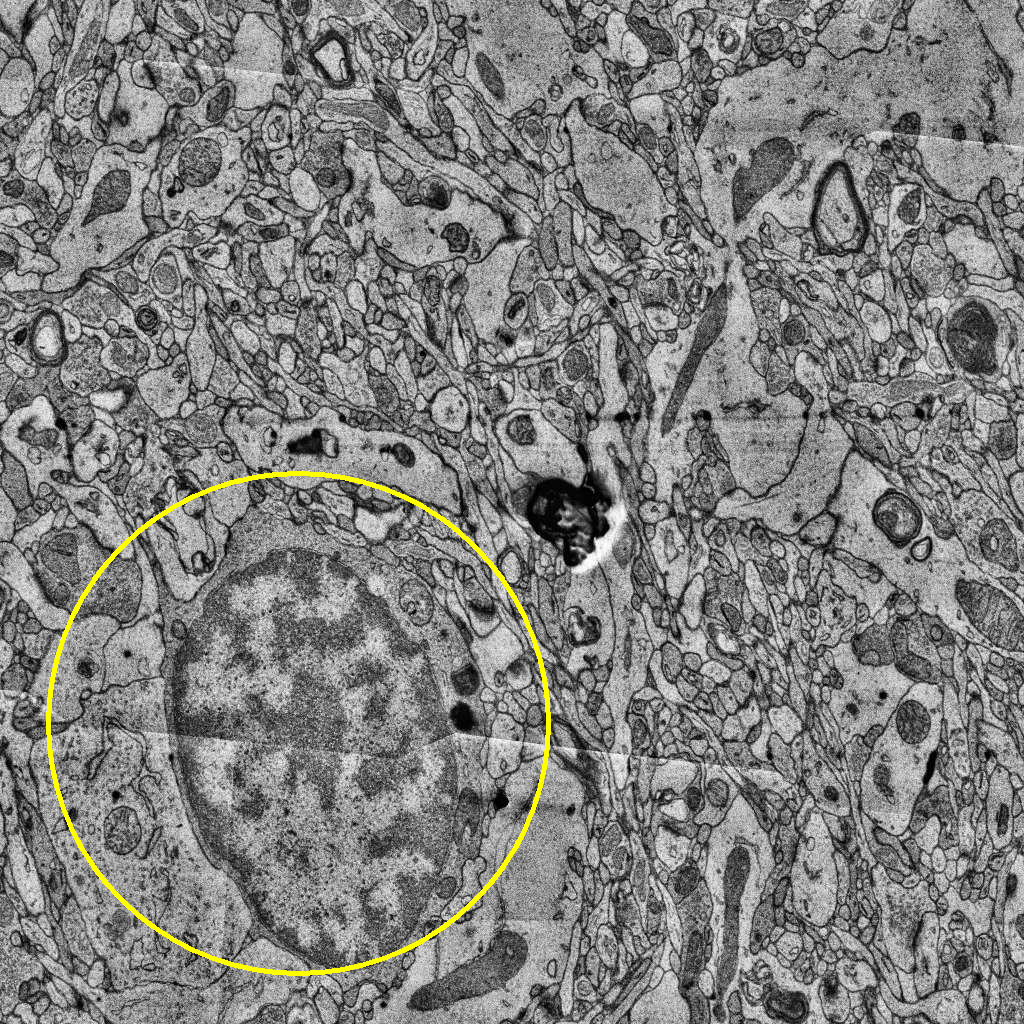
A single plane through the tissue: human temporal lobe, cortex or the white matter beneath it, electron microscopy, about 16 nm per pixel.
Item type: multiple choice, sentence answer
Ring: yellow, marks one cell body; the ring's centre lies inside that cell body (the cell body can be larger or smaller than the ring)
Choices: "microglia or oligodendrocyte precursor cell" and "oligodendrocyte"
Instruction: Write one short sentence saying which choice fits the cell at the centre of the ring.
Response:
The centre of this ring lies on an oligodendrocyte.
